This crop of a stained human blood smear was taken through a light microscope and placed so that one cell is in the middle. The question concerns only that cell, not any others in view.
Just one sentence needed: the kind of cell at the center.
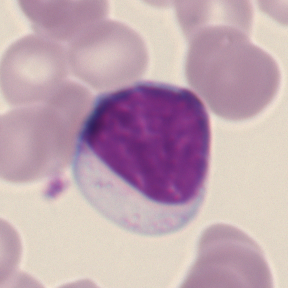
At the center of the crop sits a large granular lymphocyte.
